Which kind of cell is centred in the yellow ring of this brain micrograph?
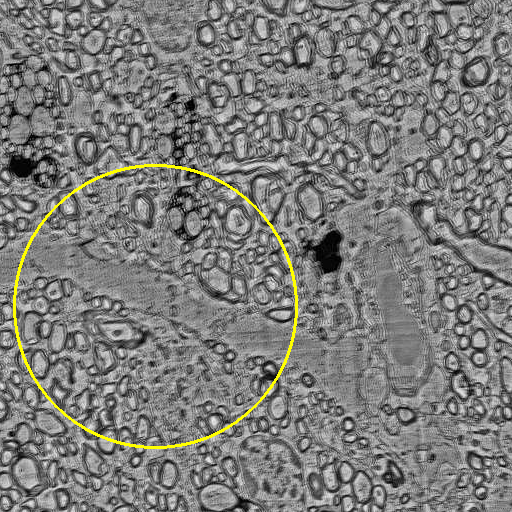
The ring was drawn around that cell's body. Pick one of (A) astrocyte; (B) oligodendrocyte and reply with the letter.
A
